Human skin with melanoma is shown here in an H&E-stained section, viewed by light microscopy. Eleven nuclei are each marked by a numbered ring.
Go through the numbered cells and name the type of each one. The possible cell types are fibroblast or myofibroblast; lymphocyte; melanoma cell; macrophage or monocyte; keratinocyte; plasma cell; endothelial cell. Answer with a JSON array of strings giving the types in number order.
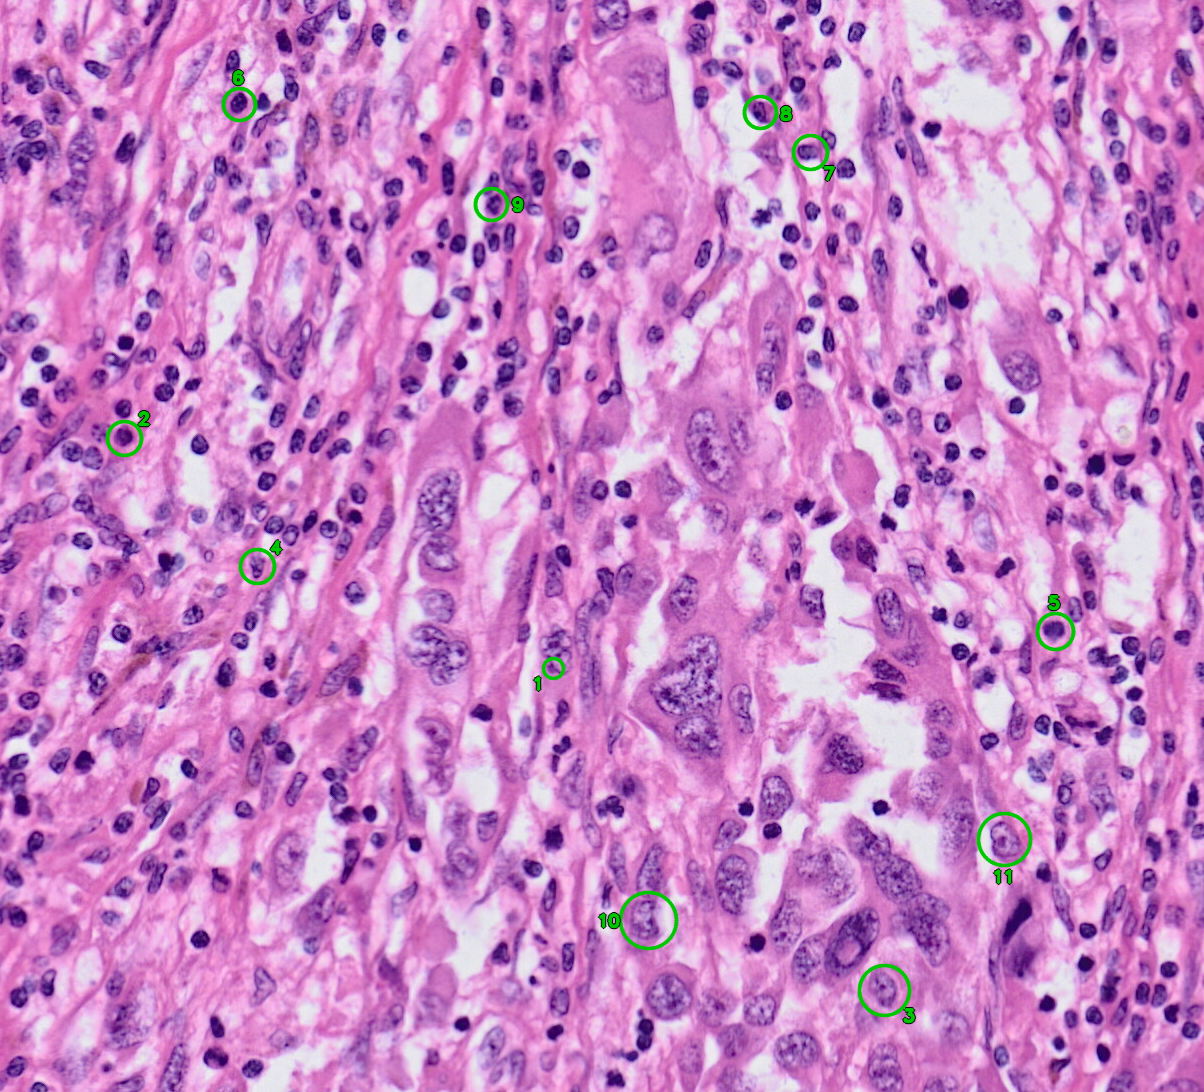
["melanoma cell", "lymphocyte", "melanoma cell", "lymphocyte", "plasma cell", "plasma cell", "lymphocyte", "plasma cell", "plasma cell", "melanoma cell", "melanoma cell"]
